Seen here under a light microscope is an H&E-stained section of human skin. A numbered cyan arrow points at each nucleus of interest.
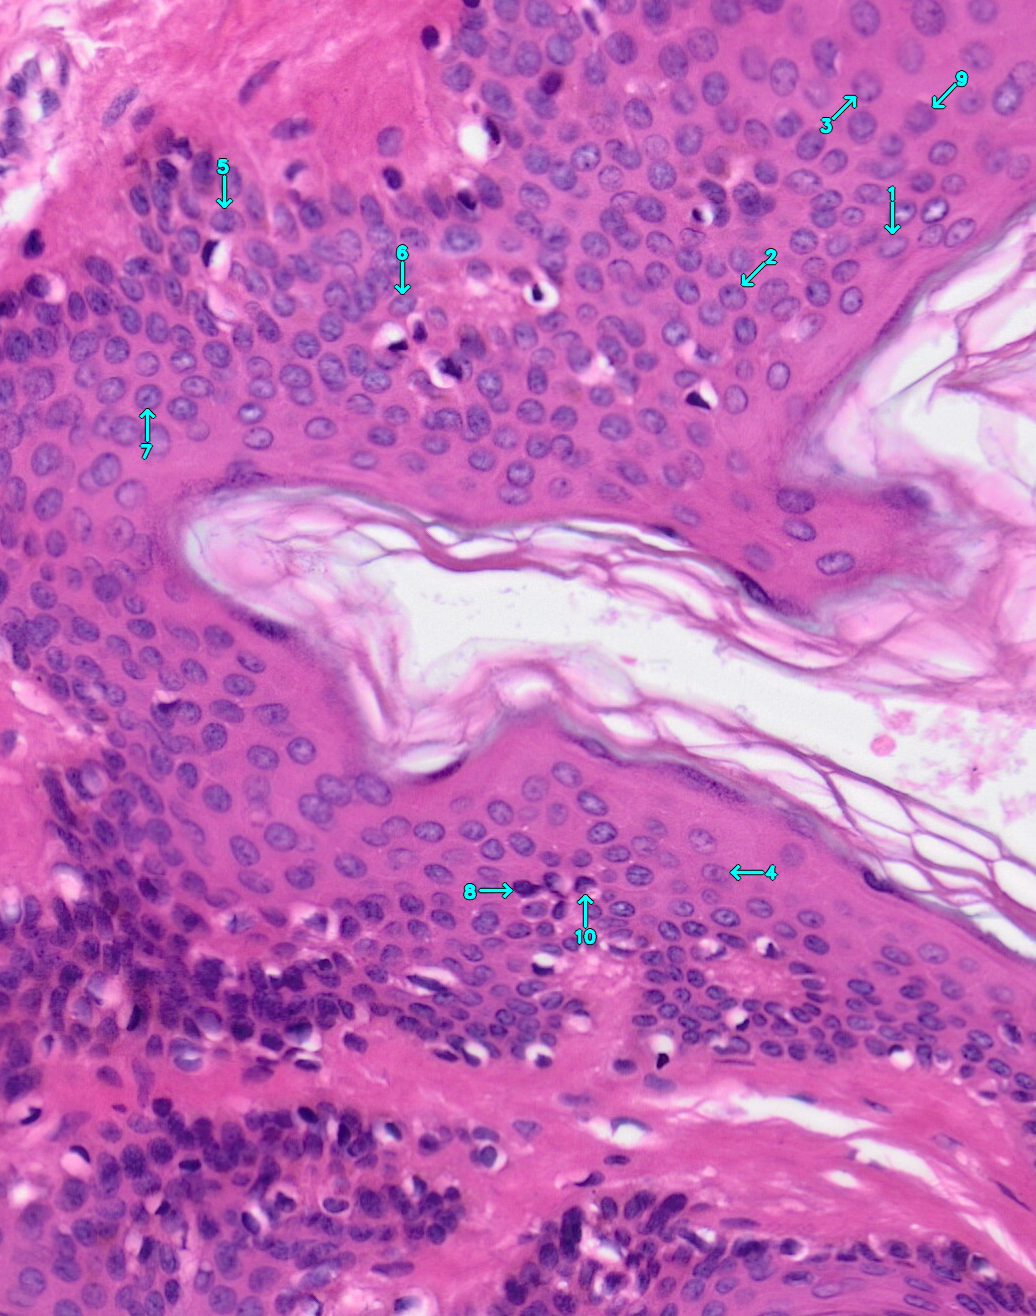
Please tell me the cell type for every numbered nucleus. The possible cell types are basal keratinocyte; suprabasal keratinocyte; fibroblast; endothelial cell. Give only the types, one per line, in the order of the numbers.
suprabasal keratinocyte
suprabasal keratinocyte
suprabasal keratinocyte
suprabasal keratinocyte
basal keratinocyte
basal keratinocyte
suprabasal keratinocyte
basal keratinocyte
suprabasal keratinocyte
basal keratinocyte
